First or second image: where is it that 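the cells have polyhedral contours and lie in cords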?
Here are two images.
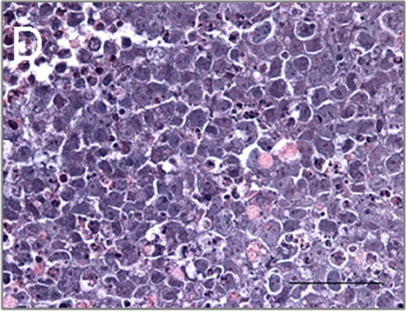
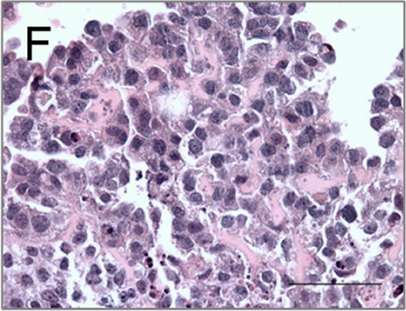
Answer: the second image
